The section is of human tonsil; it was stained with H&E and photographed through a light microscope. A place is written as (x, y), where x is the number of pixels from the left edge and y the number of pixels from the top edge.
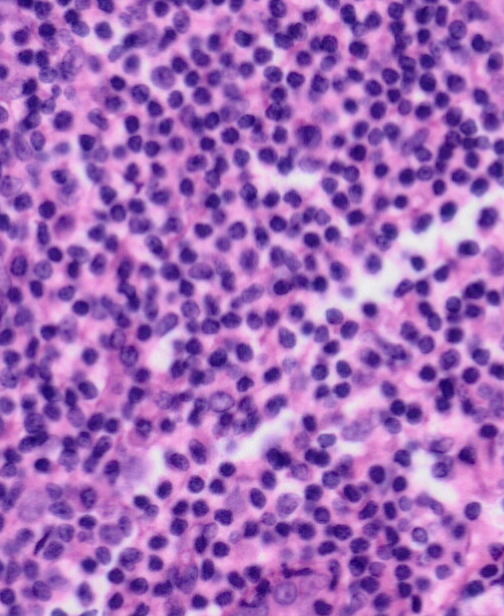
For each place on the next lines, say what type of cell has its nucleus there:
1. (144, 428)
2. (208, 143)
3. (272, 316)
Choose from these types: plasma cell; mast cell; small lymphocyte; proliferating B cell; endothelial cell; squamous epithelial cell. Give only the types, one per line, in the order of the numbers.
plasma cell
small lymphocyte
small lymphocyte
